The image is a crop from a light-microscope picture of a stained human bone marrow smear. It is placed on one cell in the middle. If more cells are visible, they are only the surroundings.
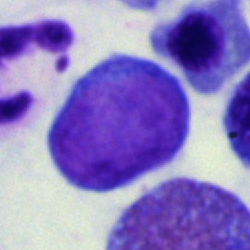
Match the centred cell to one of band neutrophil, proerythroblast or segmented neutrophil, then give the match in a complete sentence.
The cell under consideration, at the middle of the crop, is a proerythroblast.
